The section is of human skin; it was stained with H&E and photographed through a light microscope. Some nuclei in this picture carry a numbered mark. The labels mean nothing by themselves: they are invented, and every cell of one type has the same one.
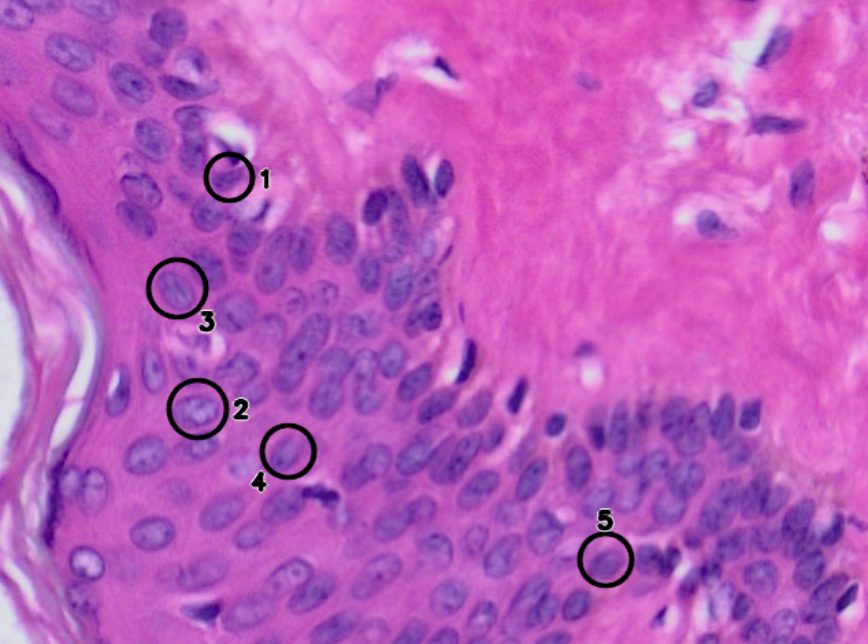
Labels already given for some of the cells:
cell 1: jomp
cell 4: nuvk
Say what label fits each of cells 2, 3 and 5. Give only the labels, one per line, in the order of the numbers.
nuvk
nuvk
jomp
